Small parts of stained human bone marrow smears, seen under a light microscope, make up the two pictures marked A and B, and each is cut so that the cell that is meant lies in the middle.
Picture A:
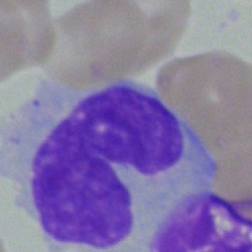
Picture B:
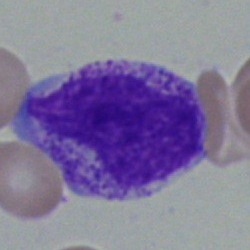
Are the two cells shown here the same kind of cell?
no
